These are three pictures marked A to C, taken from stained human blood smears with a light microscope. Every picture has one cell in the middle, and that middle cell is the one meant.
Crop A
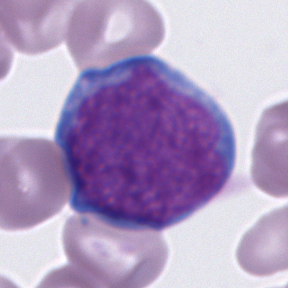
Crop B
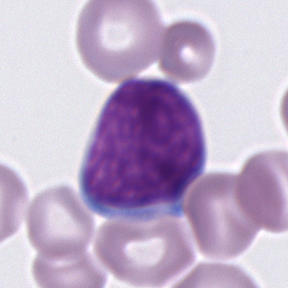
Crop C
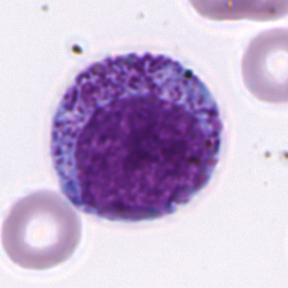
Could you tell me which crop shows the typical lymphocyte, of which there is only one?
B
